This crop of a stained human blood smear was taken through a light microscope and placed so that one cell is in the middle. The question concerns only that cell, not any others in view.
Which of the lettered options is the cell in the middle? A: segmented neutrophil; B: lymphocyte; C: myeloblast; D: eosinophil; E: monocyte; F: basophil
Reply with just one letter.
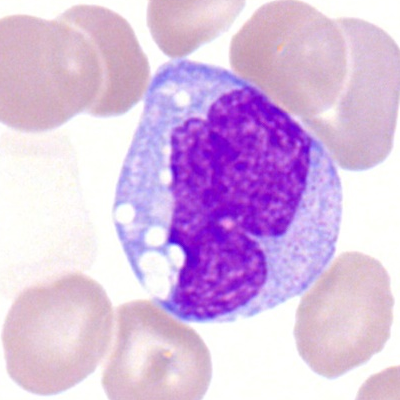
E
